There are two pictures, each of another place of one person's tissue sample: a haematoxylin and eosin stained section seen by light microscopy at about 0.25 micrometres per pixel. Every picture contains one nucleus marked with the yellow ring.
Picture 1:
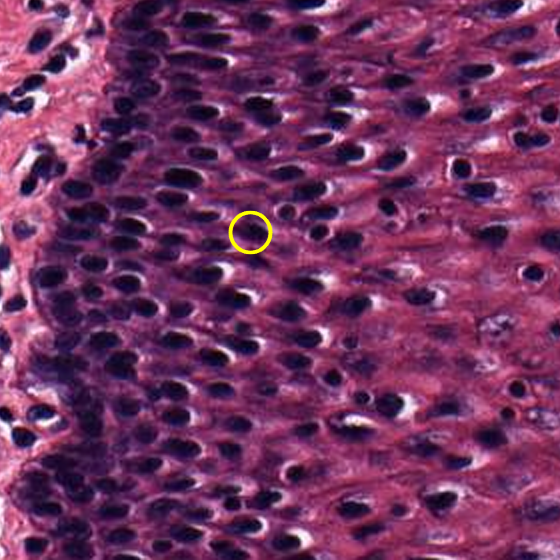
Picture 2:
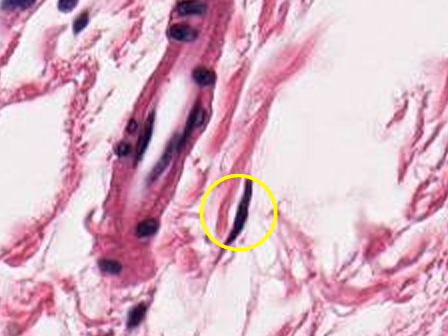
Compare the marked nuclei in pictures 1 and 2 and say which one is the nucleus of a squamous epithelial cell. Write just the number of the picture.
1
